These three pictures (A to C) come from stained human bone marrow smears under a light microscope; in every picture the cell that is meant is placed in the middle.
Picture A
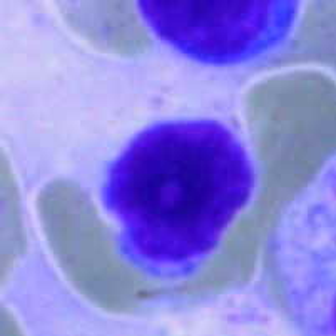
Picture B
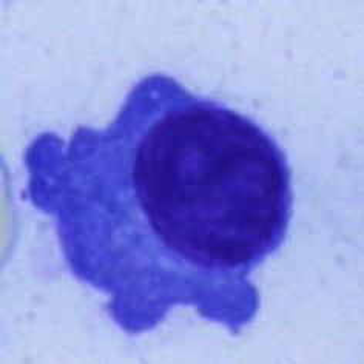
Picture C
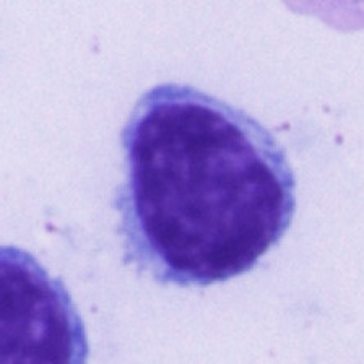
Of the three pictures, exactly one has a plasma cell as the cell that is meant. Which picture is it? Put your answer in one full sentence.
The cell in picture B is the plasma cell.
